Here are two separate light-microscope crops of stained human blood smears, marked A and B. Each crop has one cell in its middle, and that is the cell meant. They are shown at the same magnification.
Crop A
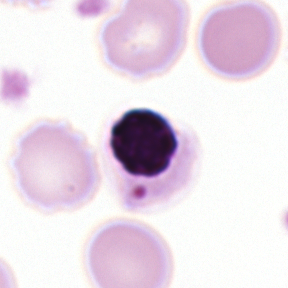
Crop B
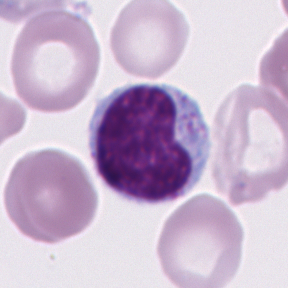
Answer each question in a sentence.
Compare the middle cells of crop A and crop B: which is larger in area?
It is the cell in crop B, about 2 times as large in area as the cell in crop A.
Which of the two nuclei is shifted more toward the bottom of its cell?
Seen within its cell, the nucleus in crop B lies further toward the bottom.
